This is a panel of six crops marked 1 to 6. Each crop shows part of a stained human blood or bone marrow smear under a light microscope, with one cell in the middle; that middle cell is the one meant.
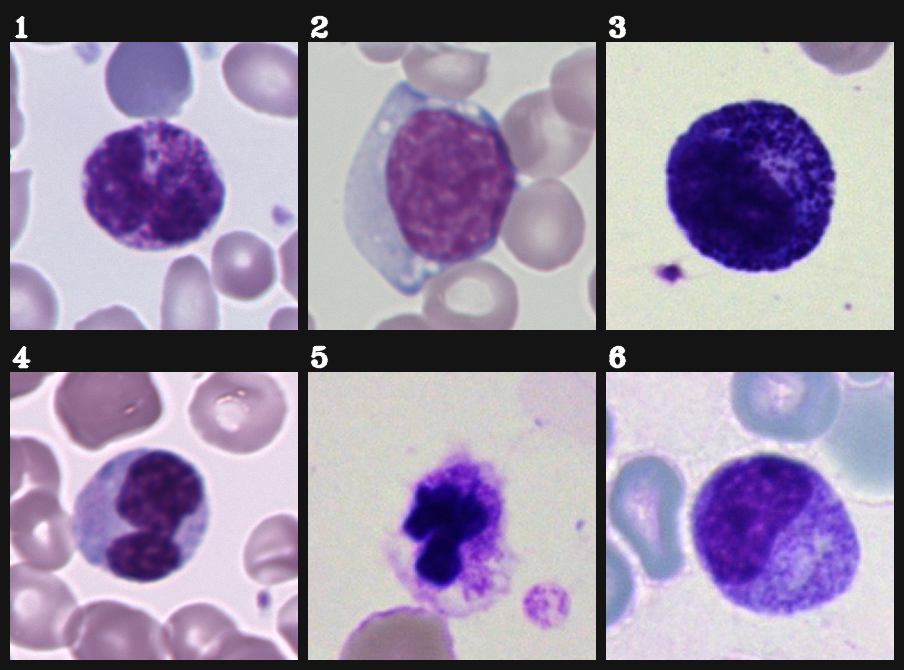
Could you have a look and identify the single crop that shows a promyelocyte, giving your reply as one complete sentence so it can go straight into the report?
Crop 3 is the one in this set that shows a promyelocyte.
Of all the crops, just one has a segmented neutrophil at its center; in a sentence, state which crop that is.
Among all the crops given here, the one with a segmented neutrophil is crop 5.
